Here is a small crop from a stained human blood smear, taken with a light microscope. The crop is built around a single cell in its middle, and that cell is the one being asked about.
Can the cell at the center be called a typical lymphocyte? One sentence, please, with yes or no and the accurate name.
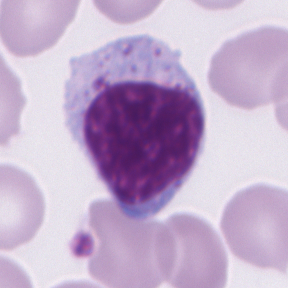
No, the centred cell is a large granular lymphocyte instead of a typical lymphocyte.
